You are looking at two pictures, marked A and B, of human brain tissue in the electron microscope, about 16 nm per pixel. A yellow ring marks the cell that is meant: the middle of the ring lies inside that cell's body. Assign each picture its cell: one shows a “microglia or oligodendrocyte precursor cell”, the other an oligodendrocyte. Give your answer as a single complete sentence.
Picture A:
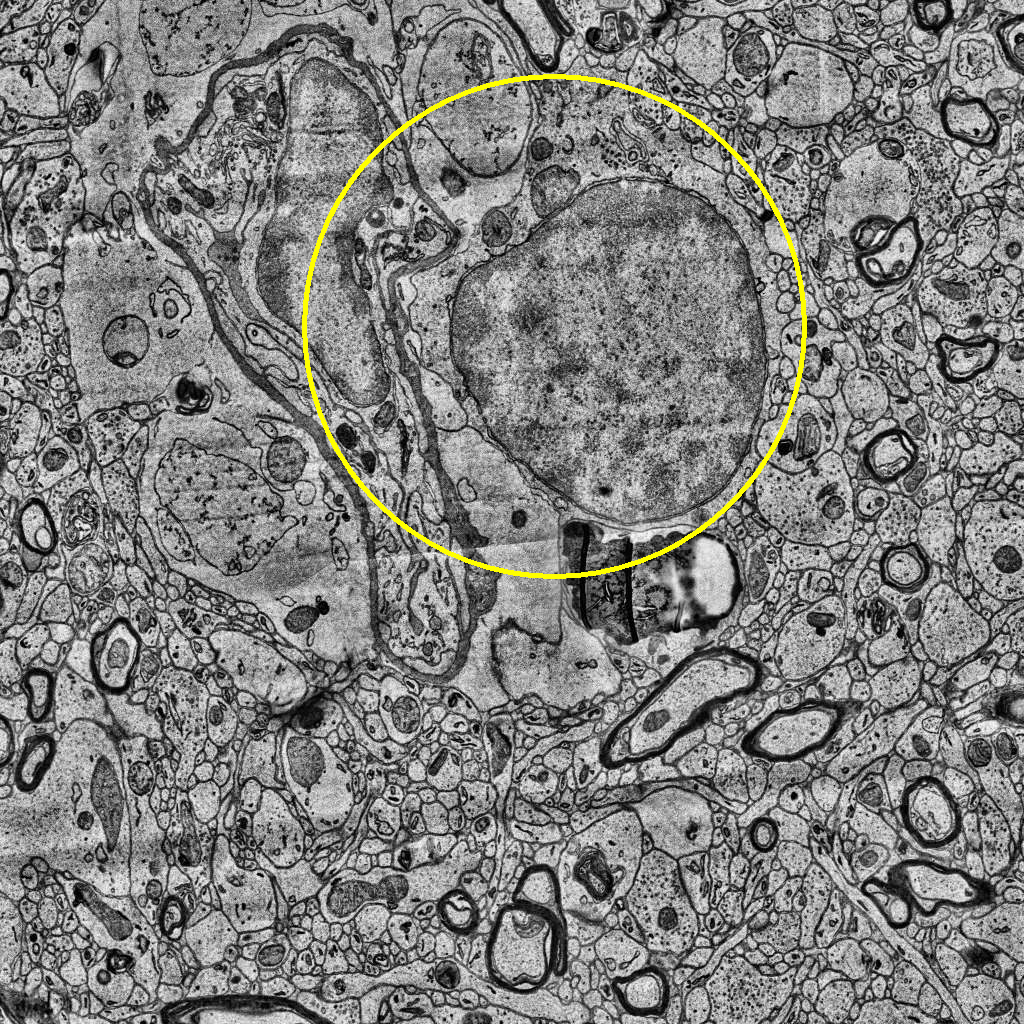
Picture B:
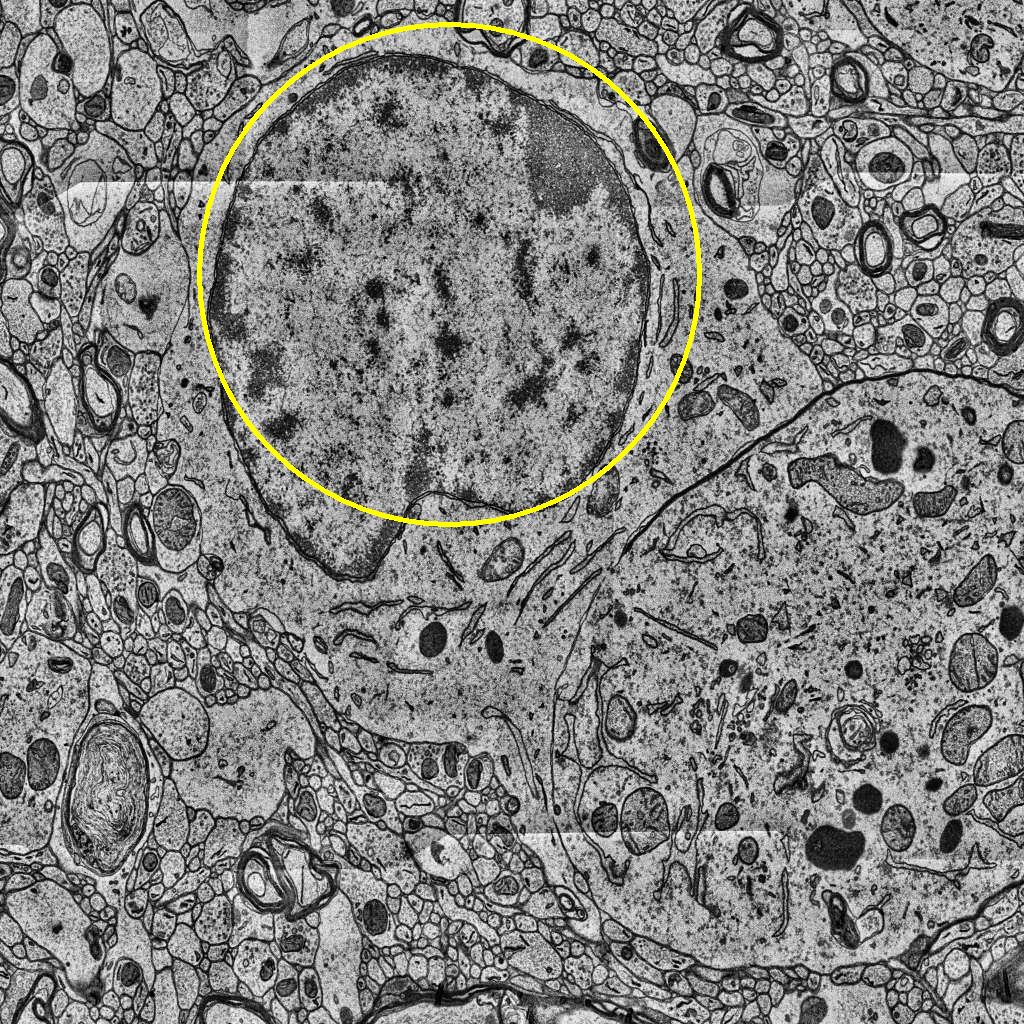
Picture A shows an oligodendrocyte and picture B shows a “microglia or oligodendrocyte precursor cell”.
